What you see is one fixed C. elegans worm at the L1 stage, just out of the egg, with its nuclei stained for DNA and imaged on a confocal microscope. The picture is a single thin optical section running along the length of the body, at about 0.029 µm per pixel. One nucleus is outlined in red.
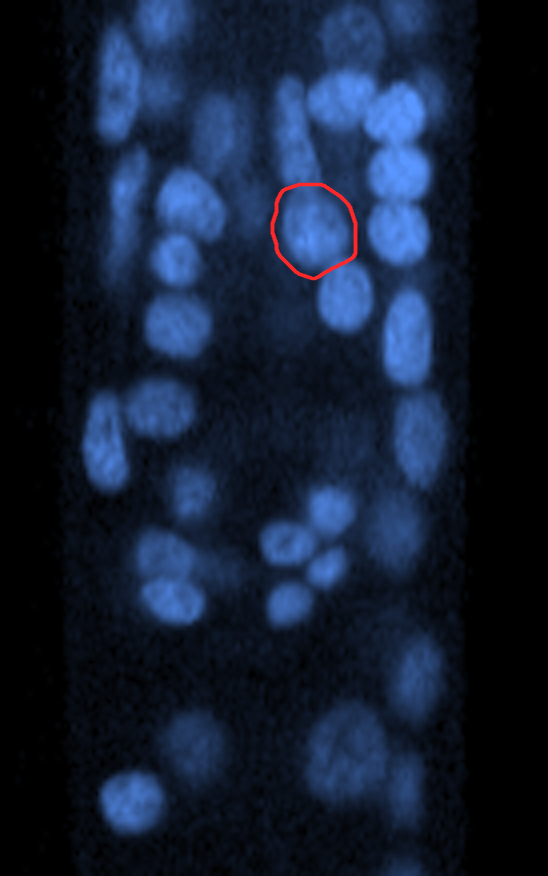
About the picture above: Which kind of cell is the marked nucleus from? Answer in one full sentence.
This nucleus is from a pharyngeal muscle cell.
